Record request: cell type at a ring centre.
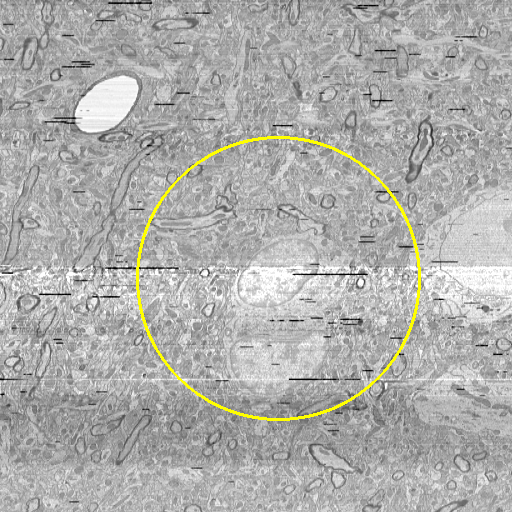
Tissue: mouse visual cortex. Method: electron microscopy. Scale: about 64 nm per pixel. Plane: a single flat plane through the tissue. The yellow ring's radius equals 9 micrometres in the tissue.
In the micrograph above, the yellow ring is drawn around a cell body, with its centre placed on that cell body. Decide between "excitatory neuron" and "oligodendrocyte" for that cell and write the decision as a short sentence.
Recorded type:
The cell centred in the yellow ring is an oligodendrocyte.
